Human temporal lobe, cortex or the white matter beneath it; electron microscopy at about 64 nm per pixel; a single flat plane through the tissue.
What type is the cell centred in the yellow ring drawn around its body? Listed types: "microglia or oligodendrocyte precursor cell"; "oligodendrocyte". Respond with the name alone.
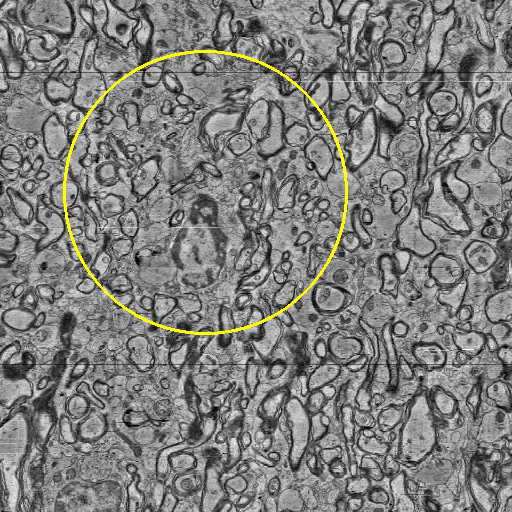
microglia or oligodendrocyte precursor cell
